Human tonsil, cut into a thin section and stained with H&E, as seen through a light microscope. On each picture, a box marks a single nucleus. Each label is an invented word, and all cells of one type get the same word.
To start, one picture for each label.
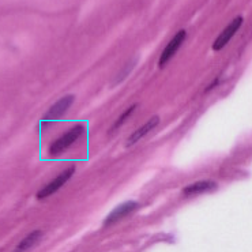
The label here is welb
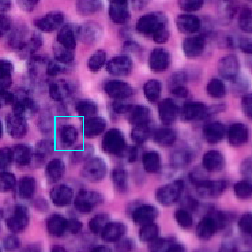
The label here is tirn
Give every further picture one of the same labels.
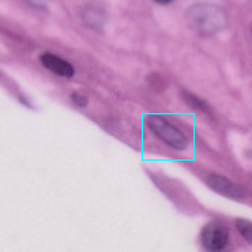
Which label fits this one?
welb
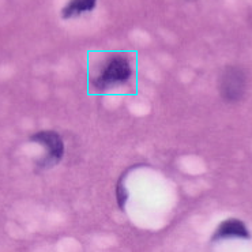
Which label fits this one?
welb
